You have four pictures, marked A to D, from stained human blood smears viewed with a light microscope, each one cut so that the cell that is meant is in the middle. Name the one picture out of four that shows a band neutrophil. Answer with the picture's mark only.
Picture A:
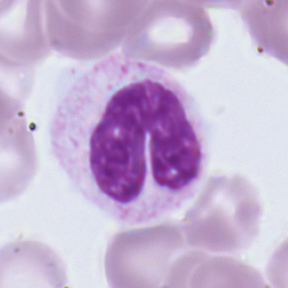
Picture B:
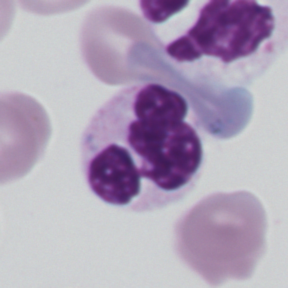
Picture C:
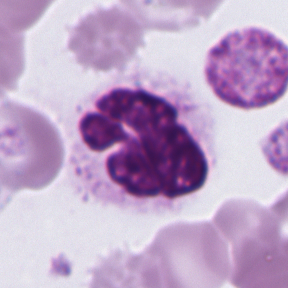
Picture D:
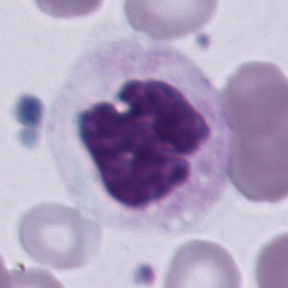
A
